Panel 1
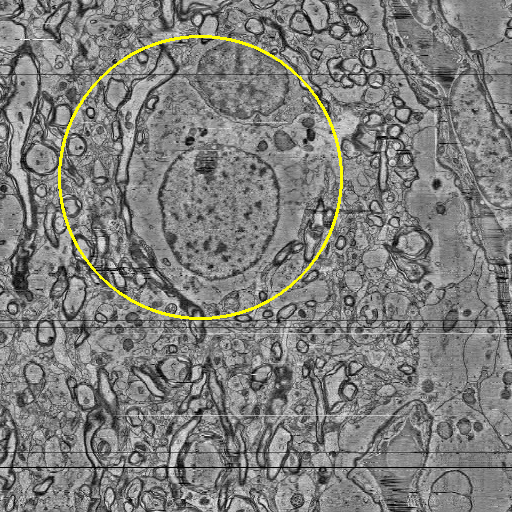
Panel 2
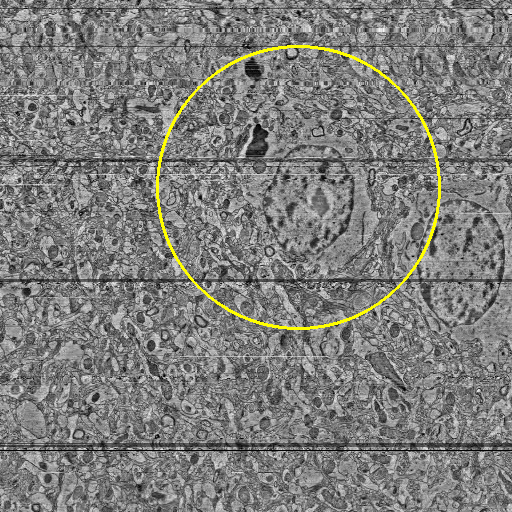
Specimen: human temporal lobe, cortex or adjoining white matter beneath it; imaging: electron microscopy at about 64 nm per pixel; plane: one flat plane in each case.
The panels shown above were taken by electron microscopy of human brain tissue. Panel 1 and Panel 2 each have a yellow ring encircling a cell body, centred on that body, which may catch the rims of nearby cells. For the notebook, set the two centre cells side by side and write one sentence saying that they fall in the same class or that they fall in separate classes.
The centred cells of Panel 1 and Panel 2 fall in the same class.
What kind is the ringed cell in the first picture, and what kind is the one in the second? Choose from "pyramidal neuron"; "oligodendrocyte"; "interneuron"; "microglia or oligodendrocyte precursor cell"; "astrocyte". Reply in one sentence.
Each of the two cells is an astrocyte.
